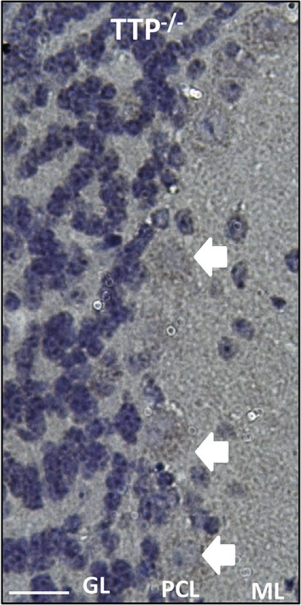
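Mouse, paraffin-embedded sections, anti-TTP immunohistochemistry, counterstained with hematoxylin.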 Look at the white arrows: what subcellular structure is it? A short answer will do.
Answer: Purkinje neuron soma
